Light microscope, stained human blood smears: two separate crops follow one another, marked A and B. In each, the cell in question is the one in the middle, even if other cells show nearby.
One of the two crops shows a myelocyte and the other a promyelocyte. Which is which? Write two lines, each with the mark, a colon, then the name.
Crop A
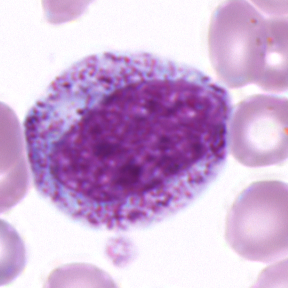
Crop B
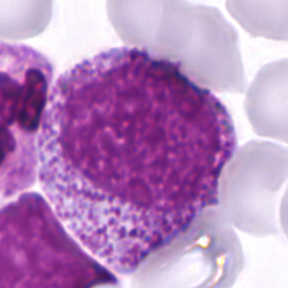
A: promyelocyte
B: myelocyte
